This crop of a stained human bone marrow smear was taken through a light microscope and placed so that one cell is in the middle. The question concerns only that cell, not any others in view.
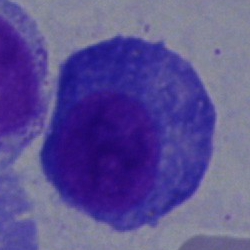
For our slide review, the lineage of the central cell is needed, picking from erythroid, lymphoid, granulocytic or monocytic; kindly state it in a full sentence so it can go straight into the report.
The cell that sits at the center is attributed to the lymphoid lineage.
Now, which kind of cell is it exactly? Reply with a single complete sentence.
Centred in the crop is a plasma cell.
